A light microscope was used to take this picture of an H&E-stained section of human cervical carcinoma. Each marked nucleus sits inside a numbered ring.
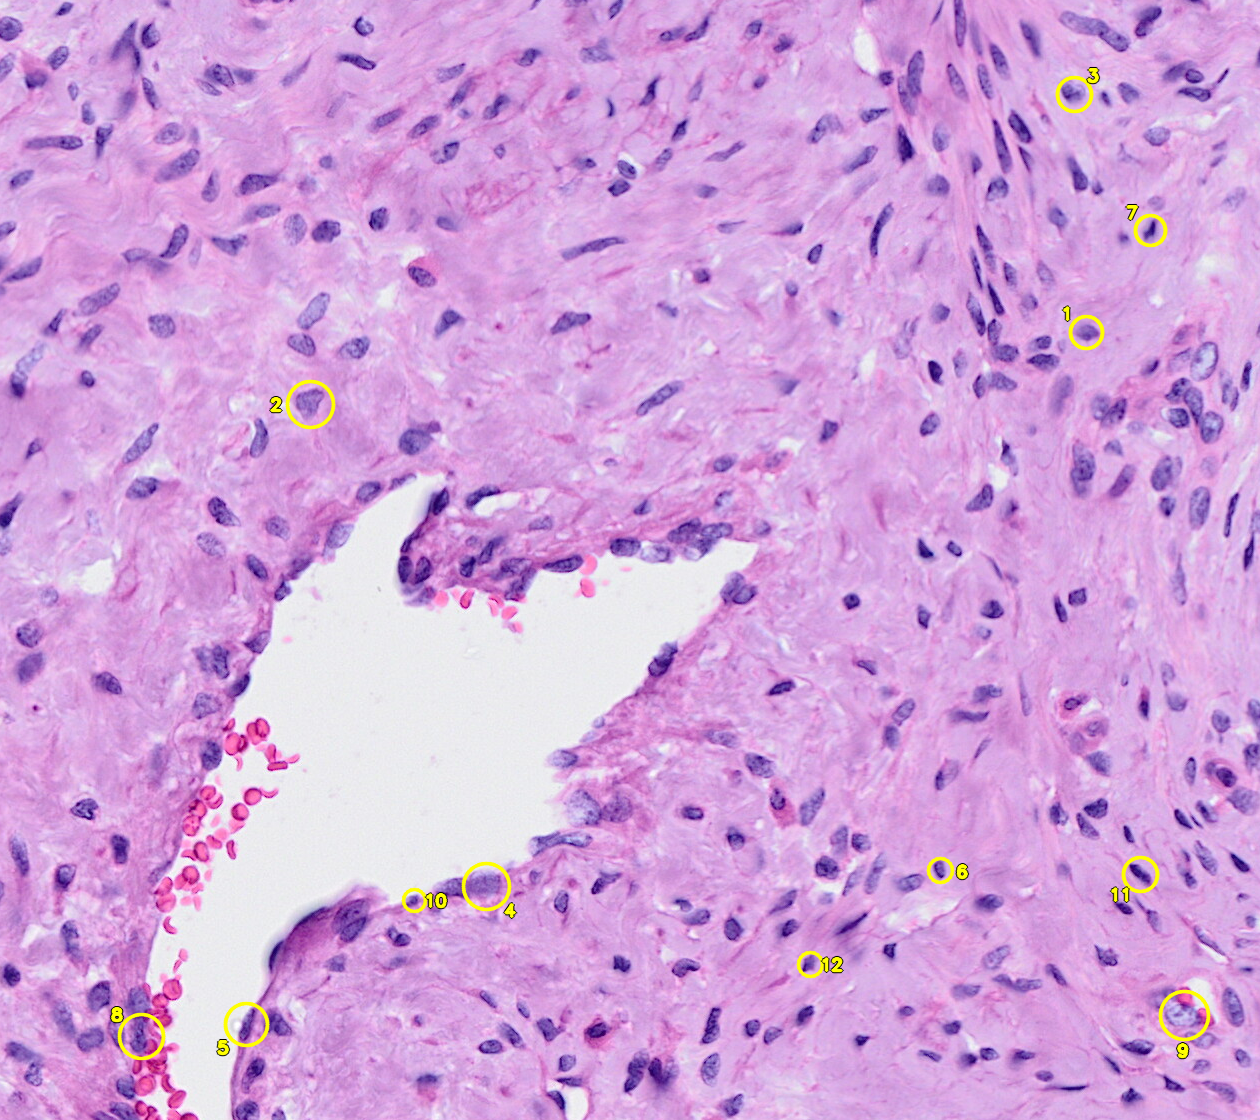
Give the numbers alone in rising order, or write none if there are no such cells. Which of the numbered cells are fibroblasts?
1, 2, 3, 6, 7, 11, 12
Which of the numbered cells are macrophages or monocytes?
none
